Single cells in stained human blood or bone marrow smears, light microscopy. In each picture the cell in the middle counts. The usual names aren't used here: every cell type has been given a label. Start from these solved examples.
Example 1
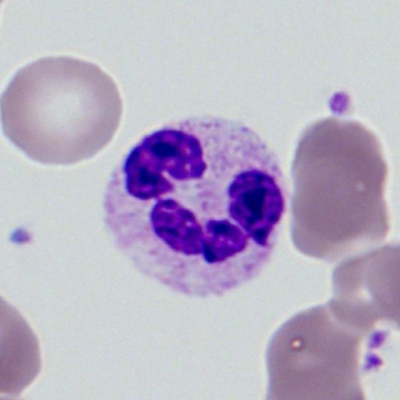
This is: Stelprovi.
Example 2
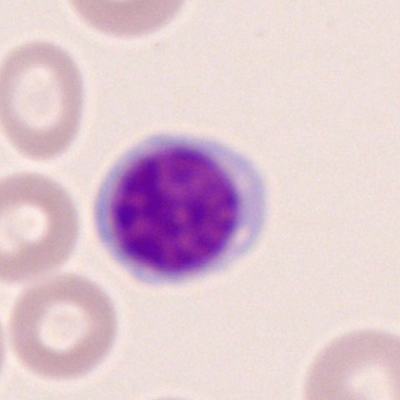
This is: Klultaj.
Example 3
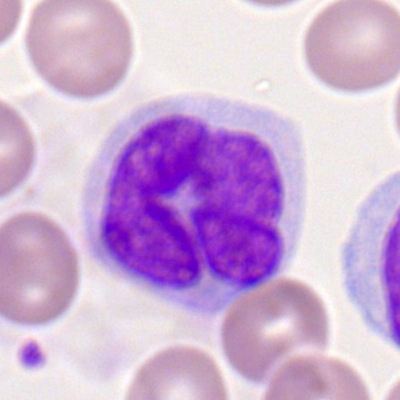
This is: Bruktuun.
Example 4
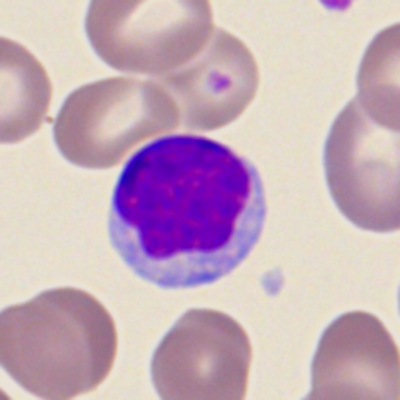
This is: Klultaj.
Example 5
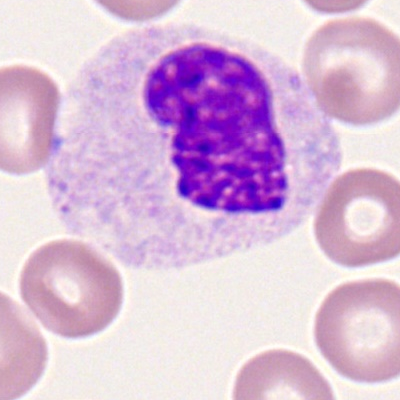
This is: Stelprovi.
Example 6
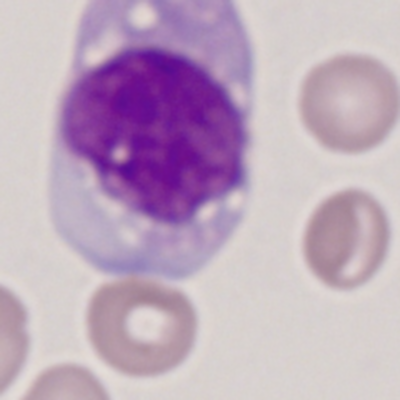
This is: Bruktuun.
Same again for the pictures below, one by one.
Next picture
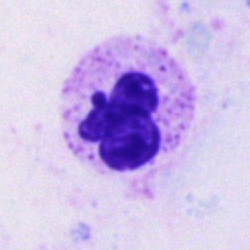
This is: Stelprovi.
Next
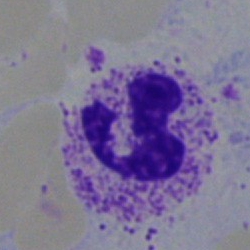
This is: Stelprovi.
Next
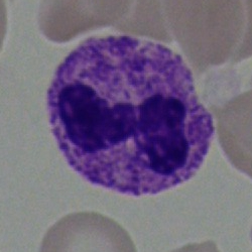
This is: Stelprovi.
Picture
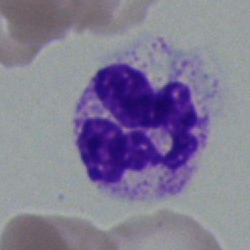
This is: Stelprovi.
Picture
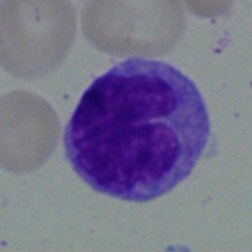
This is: Bruktuun.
